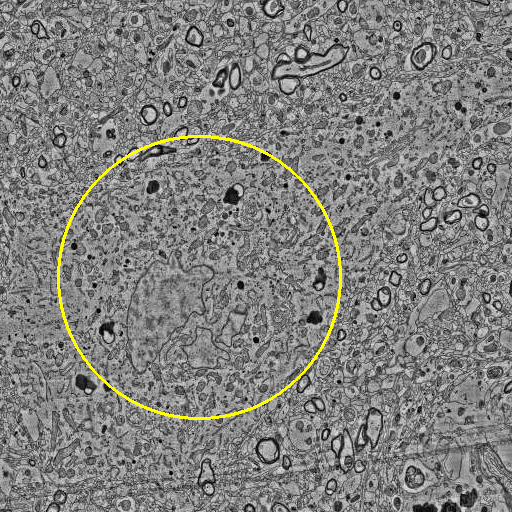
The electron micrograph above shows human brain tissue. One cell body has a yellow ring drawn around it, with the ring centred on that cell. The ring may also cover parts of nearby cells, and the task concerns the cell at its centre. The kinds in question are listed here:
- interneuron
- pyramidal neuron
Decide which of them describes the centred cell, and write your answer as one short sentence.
The centred cell is a pyramidal neuron.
